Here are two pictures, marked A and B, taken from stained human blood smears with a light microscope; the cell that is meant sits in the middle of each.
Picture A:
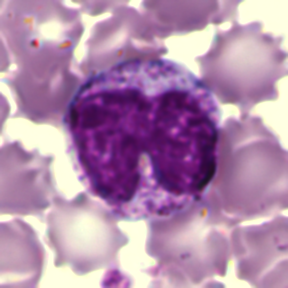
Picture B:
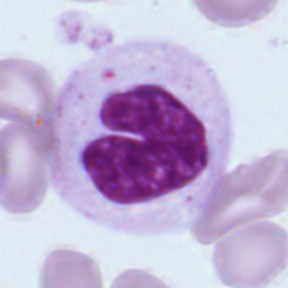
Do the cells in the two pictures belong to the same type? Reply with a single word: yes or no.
yes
